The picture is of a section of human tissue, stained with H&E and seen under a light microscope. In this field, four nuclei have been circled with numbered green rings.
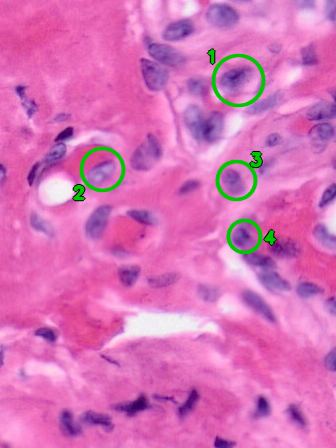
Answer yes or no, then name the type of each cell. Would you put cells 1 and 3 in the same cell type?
No, cell 1 is an endothelial cell and cell 3 is a fibroblast.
